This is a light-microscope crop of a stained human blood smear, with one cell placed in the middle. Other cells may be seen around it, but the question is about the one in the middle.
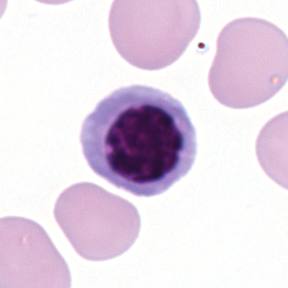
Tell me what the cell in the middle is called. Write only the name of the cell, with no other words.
erythroblast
